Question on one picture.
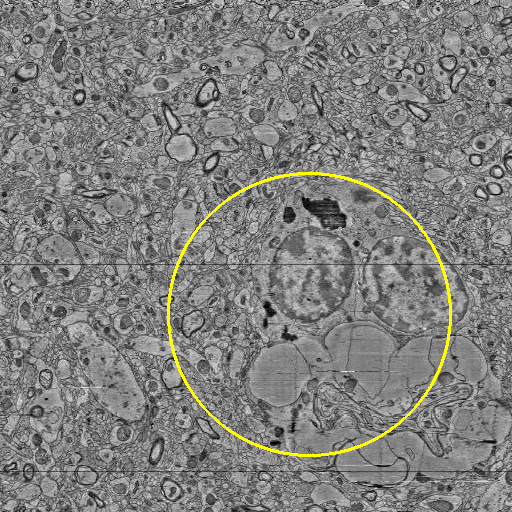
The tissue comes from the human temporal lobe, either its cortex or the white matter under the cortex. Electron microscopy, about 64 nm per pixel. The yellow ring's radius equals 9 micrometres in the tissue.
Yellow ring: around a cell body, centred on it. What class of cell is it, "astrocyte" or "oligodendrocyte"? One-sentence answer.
This is an oligodendrocyte, the cell the ring is centred on.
